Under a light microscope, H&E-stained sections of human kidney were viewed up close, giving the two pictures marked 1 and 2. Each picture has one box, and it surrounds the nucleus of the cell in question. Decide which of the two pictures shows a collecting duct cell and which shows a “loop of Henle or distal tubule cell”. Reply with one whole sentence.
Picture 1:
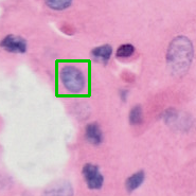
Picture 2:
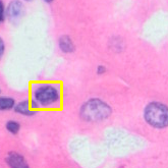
The cell in picture 1 is a “loop of Henle or distal tubule cell”, and the one in picture 2 is a collecting duct cell.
